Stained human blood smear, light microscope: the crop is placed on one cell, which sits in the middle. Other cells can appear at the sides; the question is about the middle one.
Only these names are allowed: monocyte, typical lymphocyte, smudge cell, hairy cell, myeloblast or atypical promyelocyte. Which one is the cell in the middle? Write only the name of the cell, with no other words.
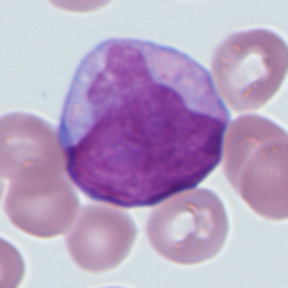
atypical promyelocyte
